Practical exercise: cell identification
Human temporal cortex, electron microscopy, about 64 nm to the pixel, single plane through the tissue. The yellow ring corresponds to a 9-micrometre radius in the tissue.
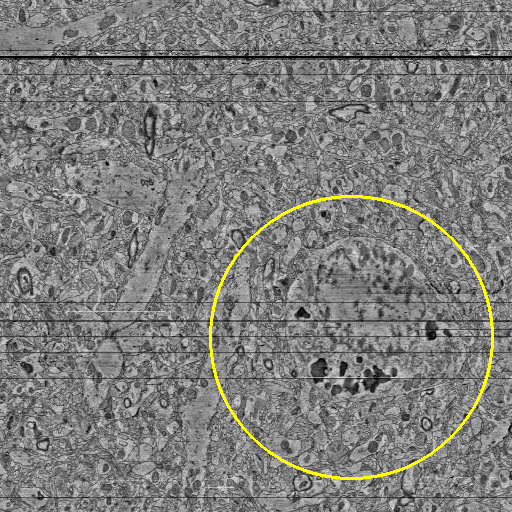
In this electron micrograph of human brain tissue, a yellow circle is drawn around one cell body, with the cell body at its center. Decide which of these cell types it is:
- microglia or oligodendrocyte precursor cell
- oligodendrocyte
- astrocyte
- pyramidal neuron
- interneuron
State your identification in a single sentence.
The ringed cell is an interneuron.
